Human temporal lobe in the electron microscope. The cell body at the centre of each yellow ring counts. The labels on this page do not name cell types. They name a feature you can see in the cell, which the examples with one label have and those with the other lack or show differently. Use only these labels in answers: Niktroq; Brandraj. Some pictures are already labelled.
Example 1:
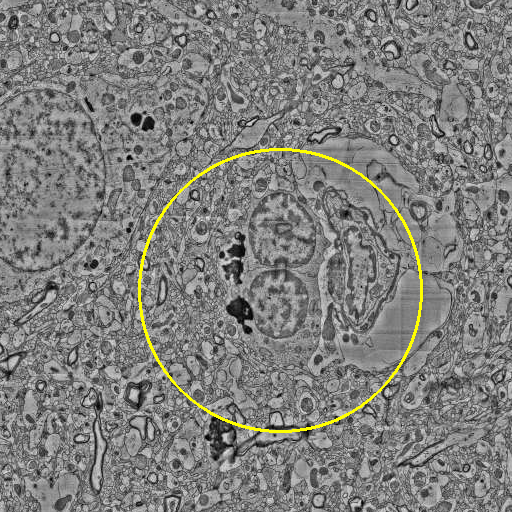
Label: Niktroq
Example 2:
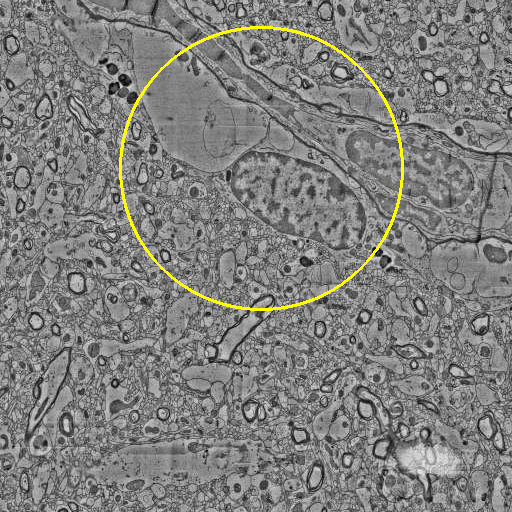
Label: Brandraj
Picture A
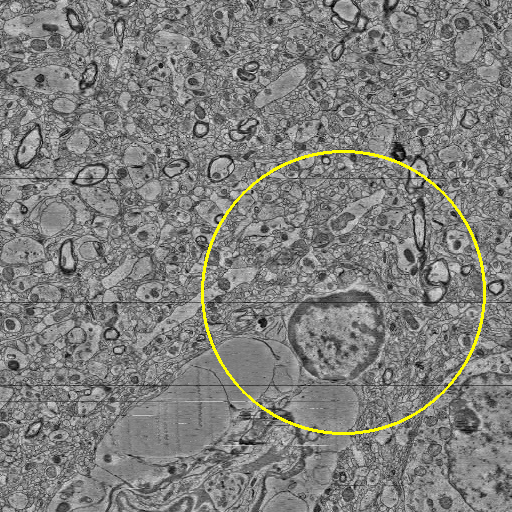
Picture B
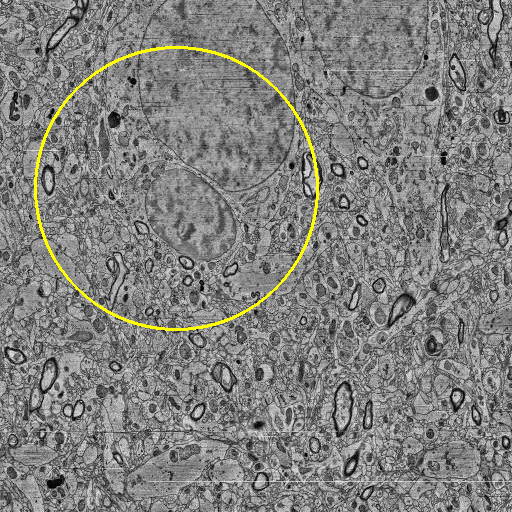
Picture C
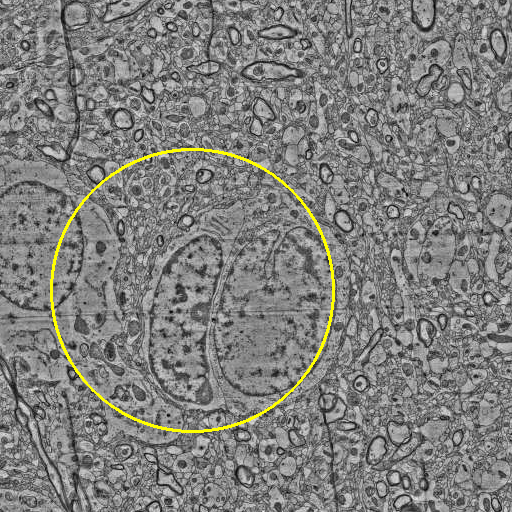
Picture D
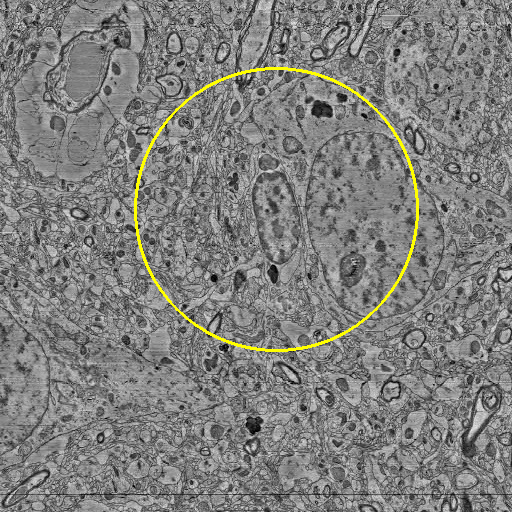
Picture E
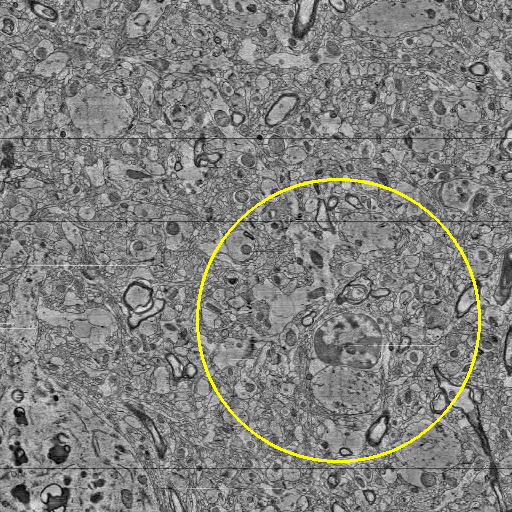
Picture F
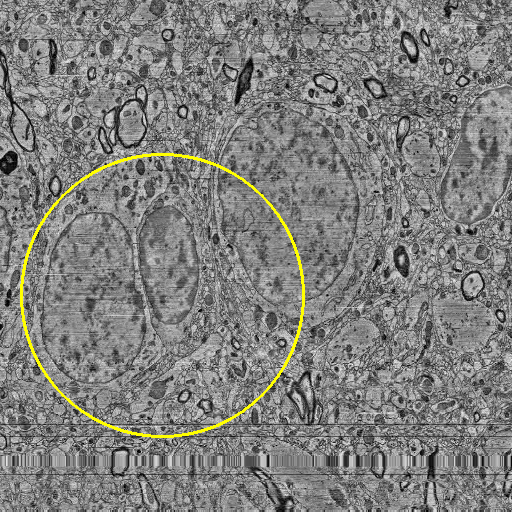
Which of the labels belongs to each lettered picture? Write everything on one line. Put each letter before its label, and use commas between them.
A Niktroq, B Brandraj, C Brandraj, D Brandraj, E Niktroq, F Brandraj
